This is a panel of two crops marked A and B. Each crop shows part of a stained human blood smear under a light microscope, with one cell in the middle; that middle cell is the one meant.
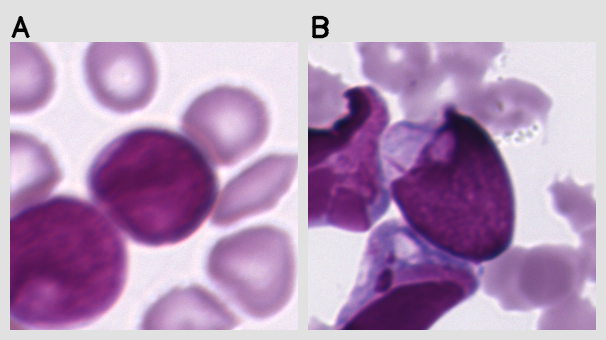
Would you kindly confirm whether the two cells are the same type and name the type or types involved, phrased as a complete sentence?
Yes, the two crops are alike in showing blasts.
